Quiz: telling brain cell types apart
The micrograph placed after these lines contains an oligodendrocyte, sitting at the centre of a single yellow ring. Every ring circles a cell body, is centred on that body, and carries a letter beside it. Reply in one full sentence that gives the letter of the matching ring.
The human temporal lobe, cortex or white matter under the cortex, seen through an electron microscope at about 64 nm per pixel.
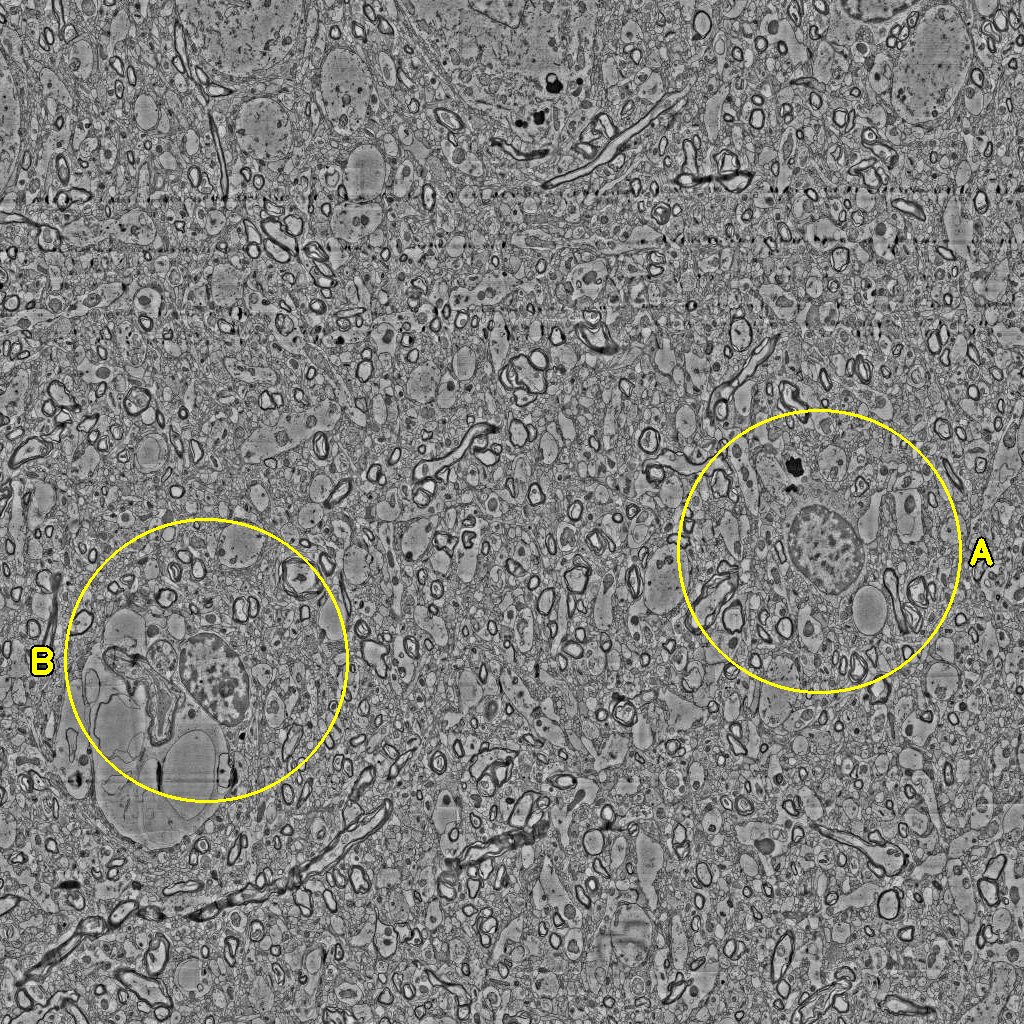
The cell asked for lies at the centre of ring A in the picture.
